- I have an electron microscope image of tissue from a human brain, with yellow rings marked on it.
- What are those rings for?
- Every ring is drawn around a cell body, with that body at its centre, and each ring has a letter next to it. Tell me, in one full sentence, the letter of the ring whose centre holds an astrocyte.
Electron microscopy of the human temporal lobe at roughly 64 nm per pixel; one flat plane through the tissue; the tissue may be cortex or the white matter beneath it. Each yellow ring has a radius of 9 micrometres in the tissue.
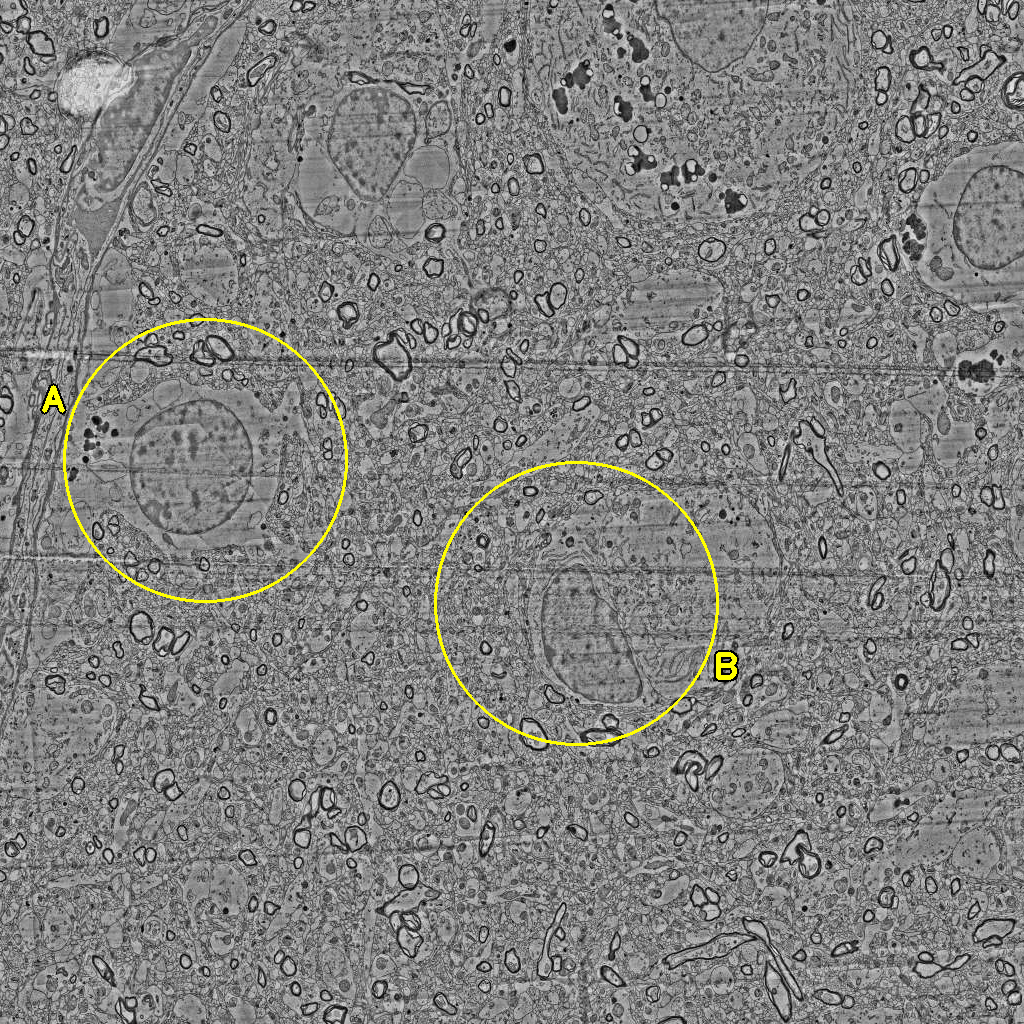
In the picture, the cell asked for sits at the centre of ring A.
